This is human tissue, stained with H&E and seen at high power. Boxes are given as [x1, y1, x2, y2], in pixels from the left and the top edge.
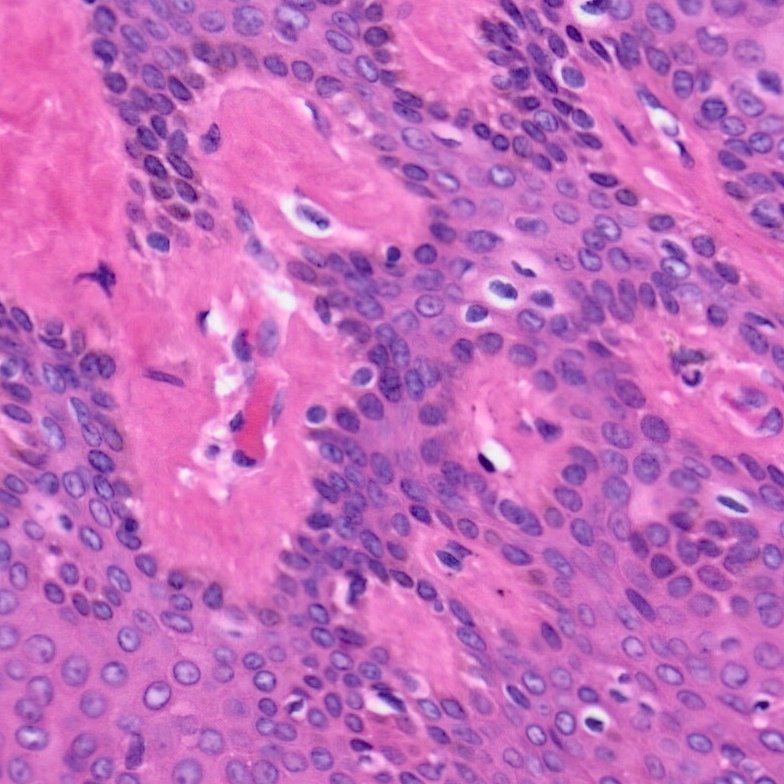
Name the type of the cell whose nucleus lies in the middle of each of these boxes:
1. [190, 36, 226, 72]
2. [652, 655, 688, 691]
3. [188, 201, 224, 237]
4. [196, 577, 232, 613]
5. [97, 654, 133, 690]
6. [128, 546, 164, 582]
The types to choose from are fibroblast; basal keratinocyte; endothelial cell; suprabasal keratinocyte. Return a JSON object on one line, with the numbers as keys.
{"1": "basal keratinocyte", "2": "suprabasal keratinocyte", "3": "basal keratinocyte", "4": "basal keratinocyte", "5": "suprabasal keratinocyte", "6": "basal keratinocyte"}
